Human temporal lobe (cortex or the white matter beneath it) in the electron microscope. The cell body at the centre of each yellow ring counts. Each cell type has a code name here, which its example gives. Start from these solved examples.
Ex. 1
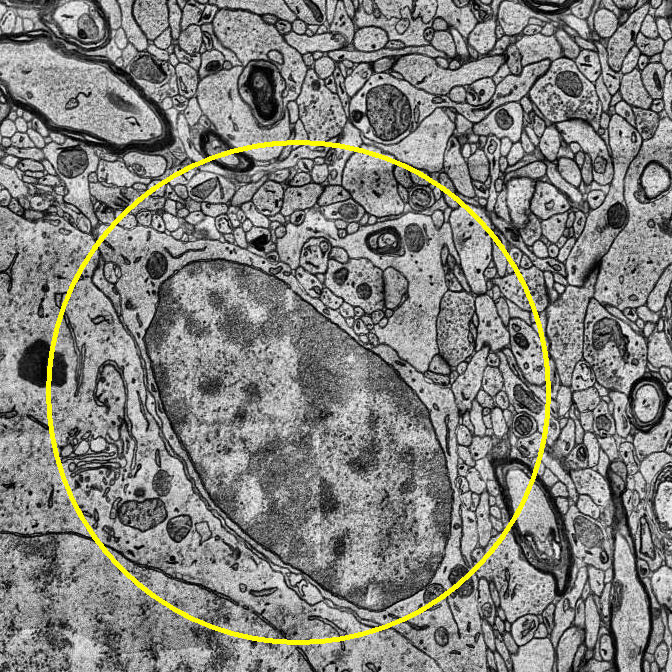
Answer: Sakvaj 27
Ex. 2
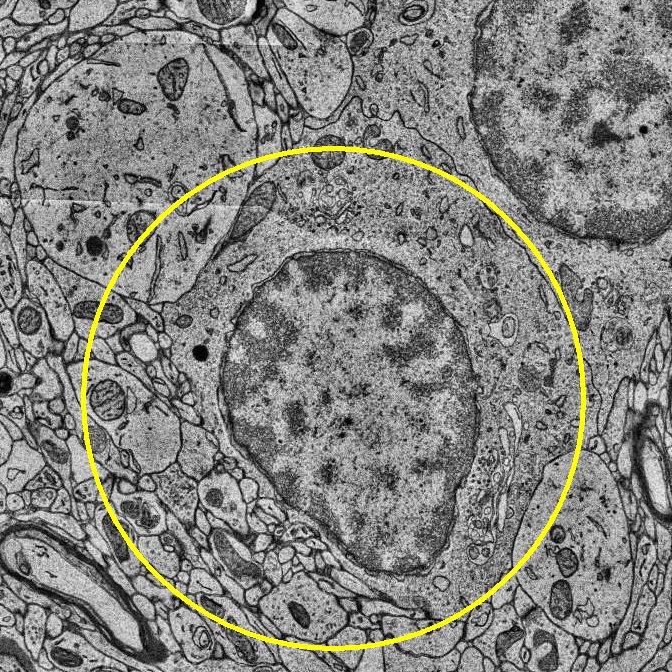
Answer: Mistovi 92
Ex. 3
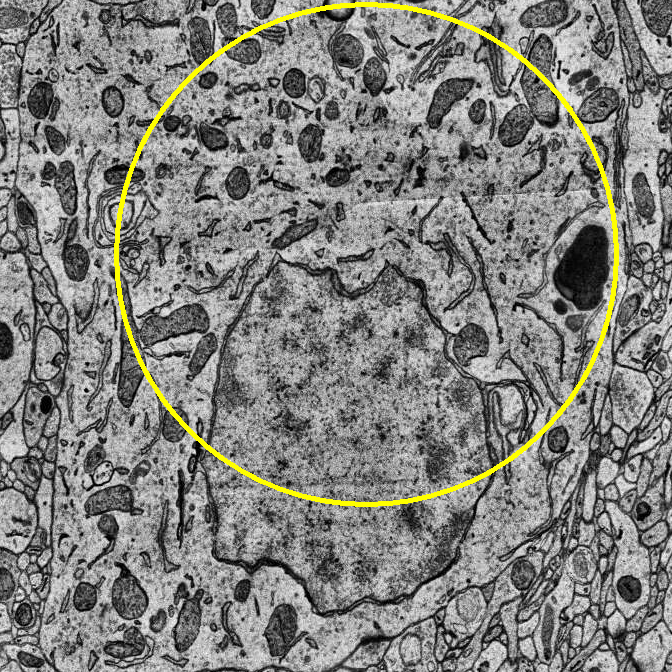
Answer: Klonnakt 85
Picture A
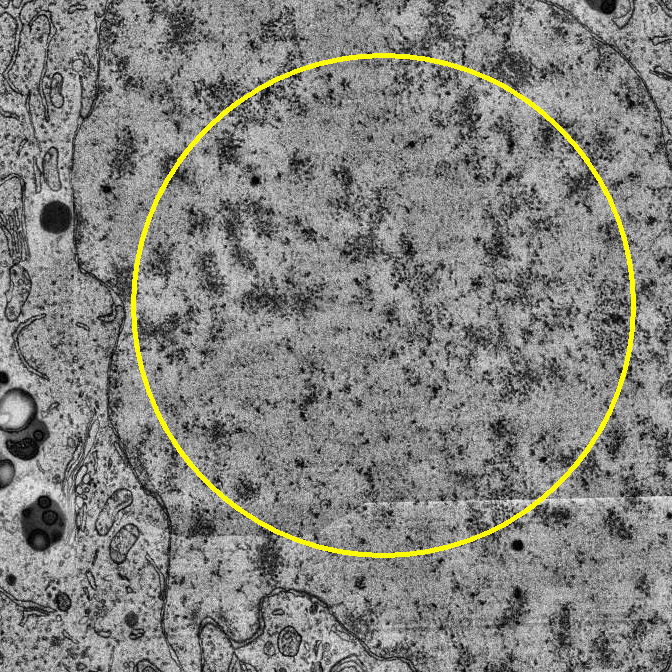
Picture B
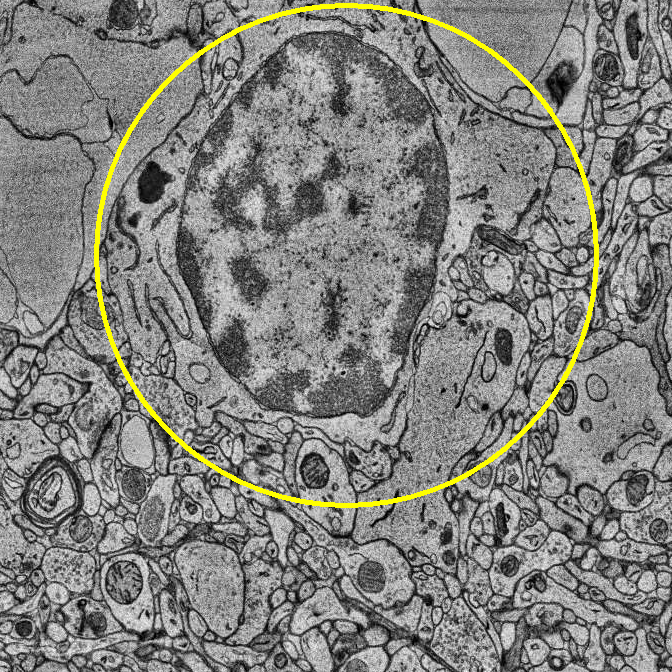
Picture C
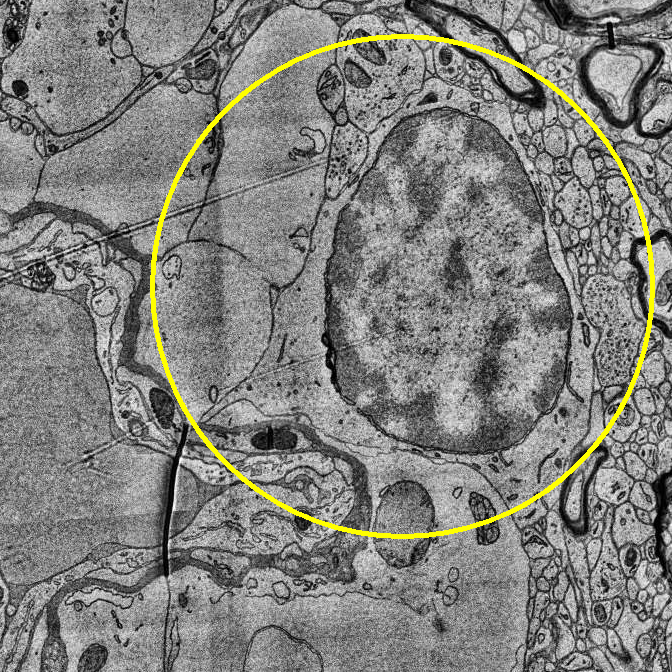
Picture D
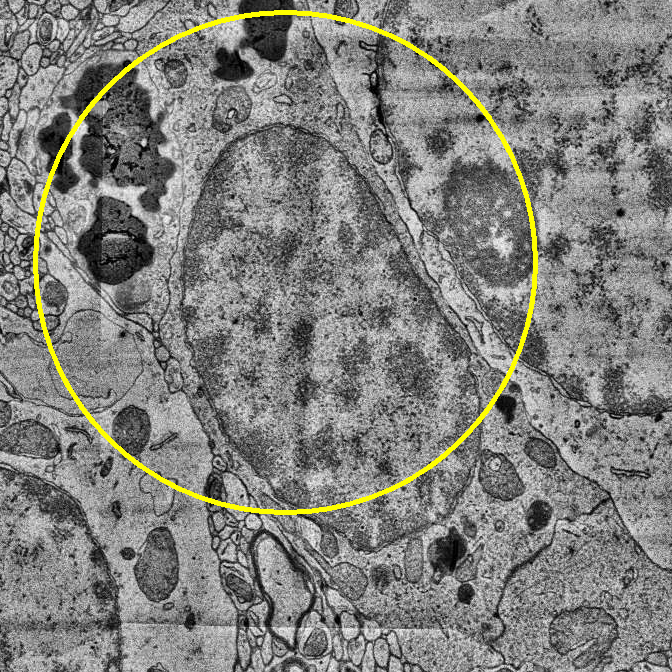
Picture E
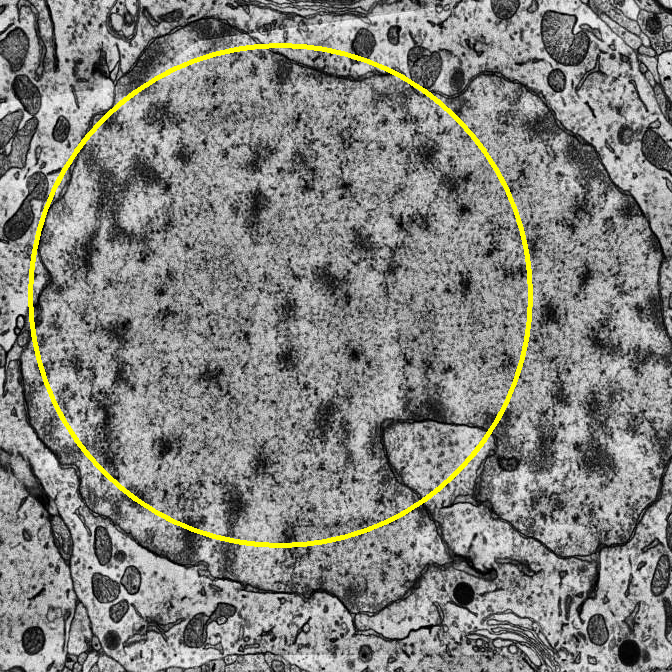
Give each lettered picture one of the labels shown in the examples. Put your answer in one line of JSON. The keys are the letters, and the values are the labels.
{"A": "Klonnakt 85", "B": "Sakvaj 27", "C": "Sakvaj 27", "D": "Sakvaj 27", "E": "Klonnakt 85"}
